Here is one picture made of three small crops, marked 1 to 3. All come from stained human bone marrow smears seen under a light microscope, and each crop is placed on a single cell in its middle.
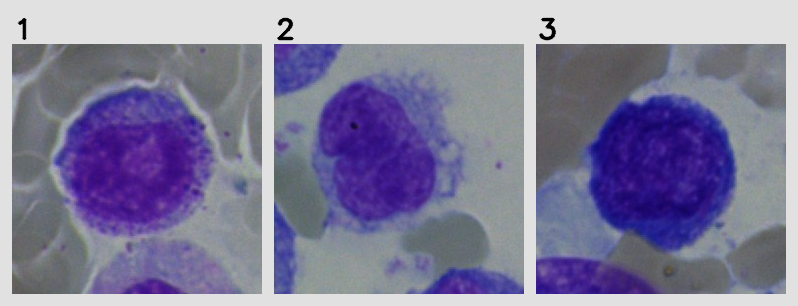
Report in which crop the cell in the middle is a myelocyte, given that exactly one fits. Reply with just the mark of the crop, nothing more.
1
